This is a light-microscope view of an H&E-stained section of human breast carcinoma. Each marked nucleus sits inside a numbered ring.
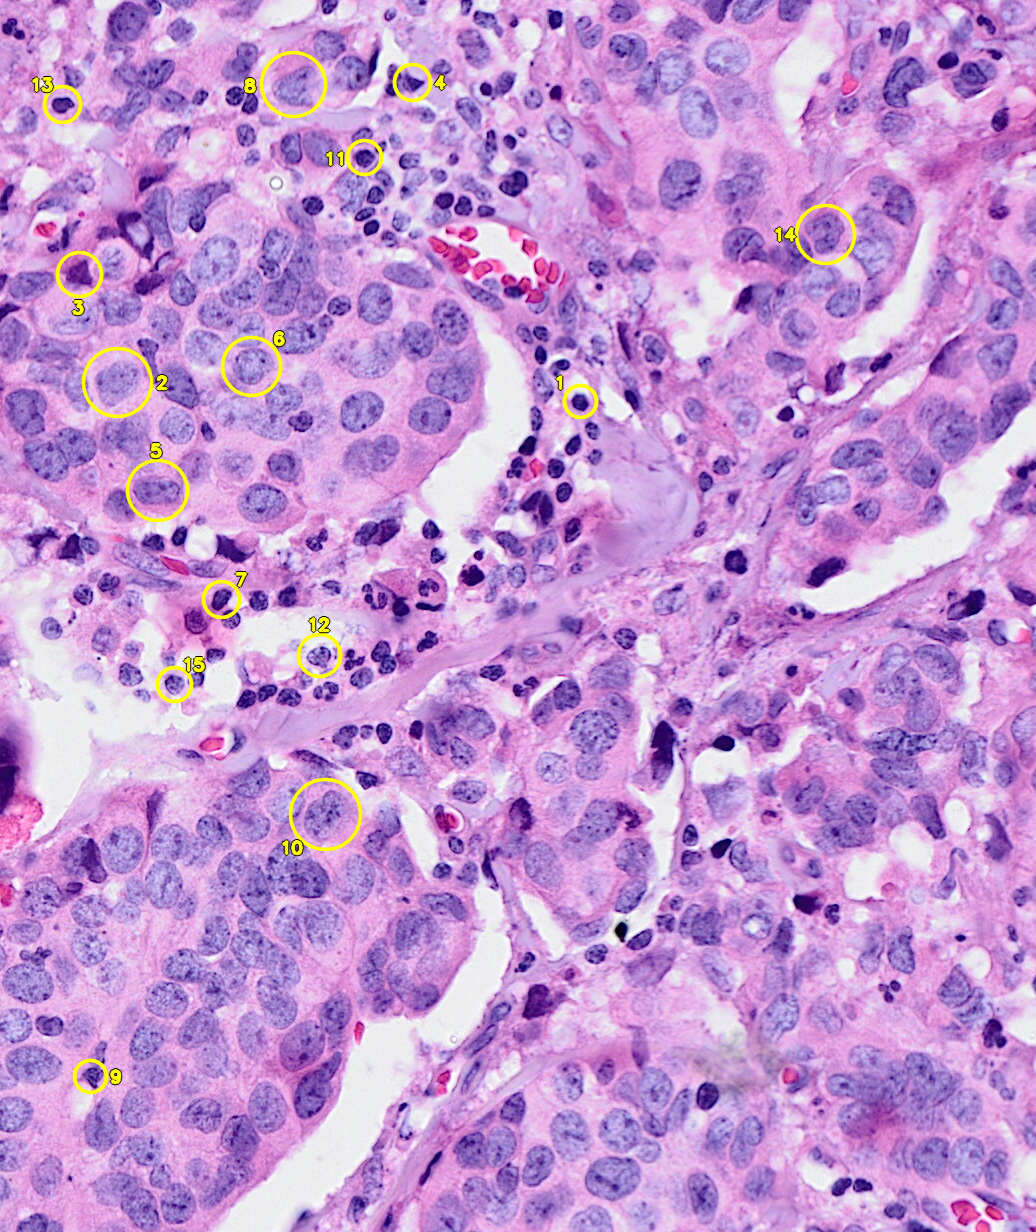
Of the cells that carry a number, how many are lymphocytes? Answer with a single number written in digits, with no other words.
8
